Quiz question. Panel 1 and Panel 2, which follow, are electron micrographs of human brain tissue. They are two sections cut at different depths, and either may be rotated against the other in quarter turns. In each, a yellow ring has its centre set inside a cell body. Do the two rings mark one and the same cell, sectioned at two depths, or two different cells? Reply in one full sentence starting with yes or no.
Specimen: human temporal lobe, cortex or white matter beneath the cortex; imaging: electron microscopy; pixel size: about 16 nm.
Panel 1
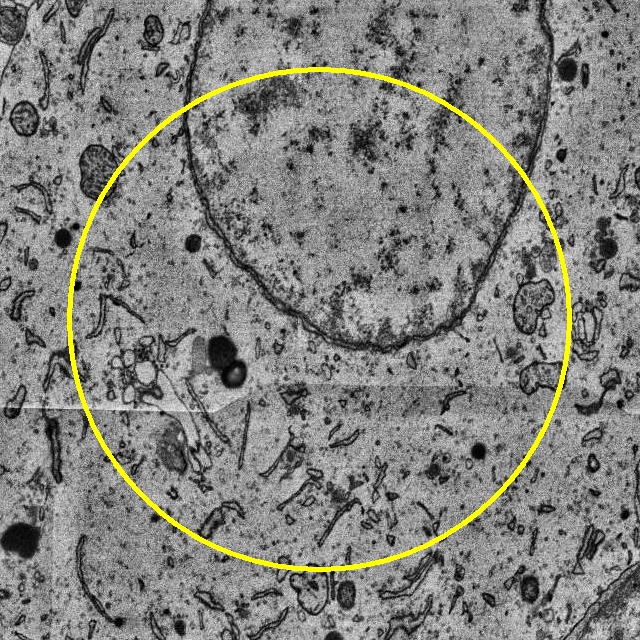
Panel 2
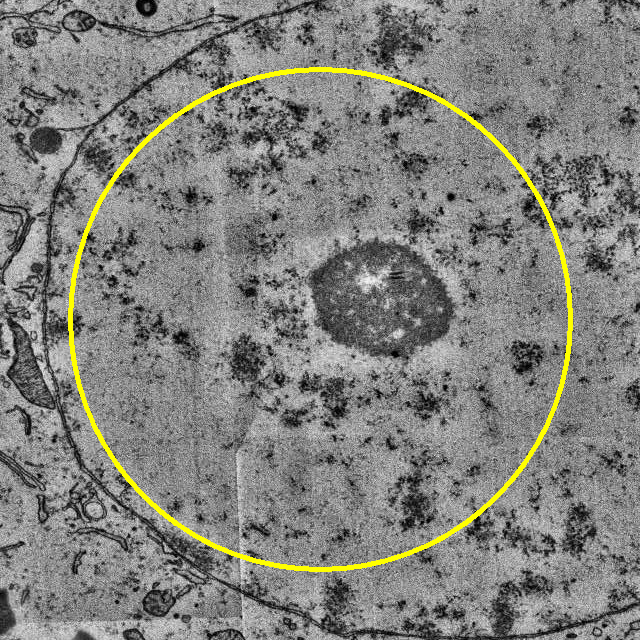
No, the two yellow rings surround two different cells.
